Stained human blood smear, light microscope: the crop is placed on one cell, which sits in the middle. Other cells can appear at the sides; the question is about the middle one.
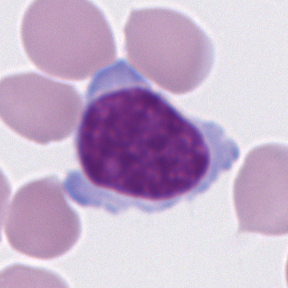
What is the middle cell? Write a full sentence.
The cell centered in this field of view is a typical lymphocyte.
